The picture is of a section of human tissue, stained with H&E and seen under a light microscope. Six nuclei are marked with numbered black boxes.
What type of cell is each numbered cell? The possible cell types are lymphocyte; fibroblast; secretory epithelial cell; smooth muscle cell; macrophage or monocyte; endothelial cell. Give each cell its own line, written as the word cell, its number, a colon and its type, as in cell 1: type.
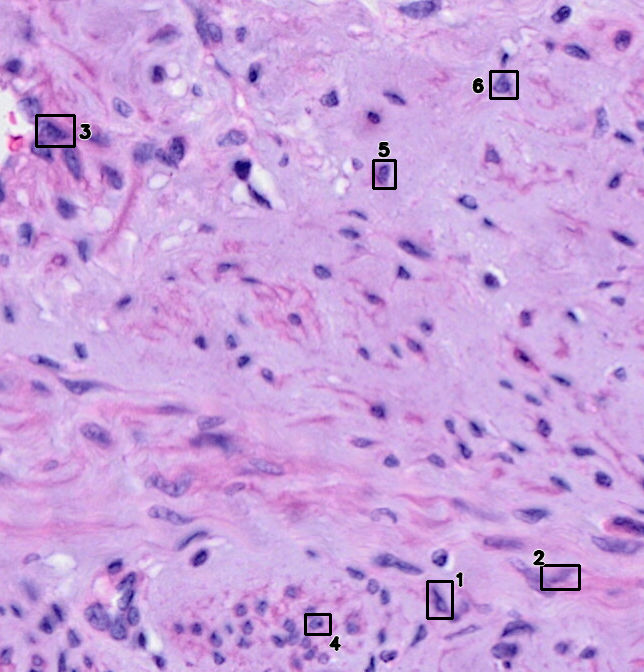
cell 1: smooth muscle cell
cell 2: smooth muscle cell
cell 3: endothelial cell
cell 4: smooth muscle cell
cell 5: fibroblast
cell 6: fibroblast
